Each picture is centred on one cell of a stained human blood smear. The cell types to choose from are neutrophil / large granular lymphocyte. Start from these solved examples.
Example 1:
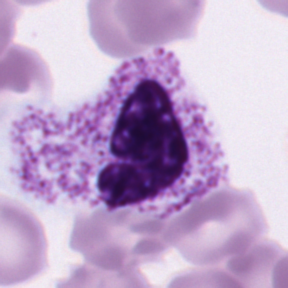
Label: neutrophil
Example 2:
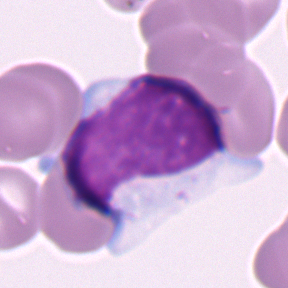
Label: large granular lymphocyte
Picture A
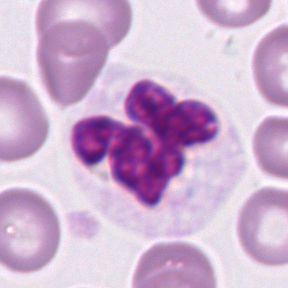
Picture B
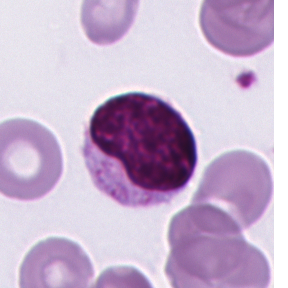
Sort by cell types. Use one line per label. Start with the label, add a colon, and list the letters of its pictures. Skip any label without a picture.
neutrophil: A
large granular lymphocyte: B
